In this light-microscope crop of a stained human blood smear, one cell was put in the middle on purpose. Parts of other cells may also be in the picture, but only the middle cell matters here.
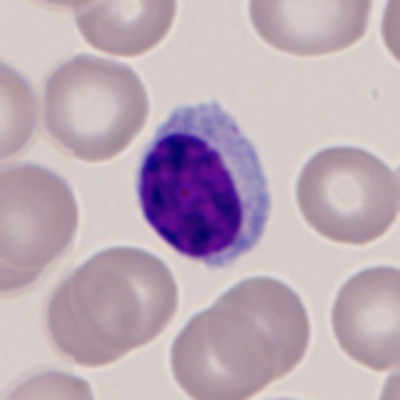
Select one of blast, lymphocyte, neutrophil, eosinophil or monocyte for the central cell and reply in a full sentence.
Centrally within this crop lies a lymphocyte.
